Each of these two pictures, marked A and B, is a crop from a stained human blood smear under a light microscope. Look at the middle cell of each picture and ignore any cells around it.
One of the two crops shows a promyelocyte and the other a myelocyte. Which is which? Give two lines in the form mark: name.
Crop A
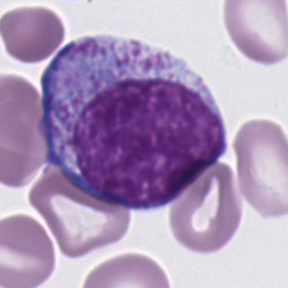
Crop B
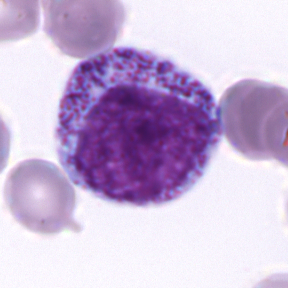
A: promyelocyte
B: myelocyte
